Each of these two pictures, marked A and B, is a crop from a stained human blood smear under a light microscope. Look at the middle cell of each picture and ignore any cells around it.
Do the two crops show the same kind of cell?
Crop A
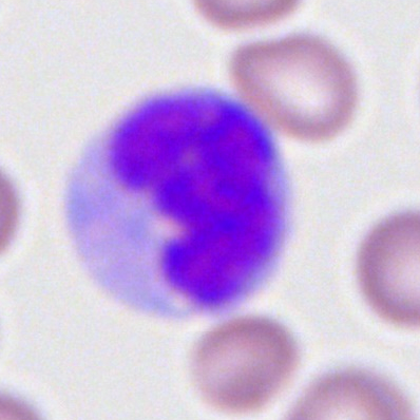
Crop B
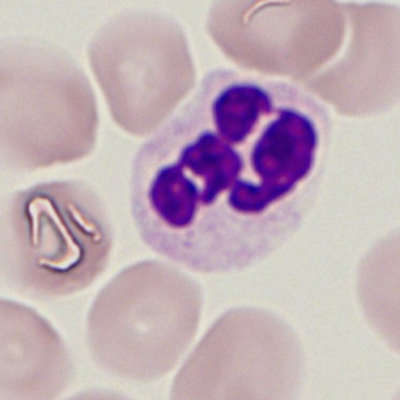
no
